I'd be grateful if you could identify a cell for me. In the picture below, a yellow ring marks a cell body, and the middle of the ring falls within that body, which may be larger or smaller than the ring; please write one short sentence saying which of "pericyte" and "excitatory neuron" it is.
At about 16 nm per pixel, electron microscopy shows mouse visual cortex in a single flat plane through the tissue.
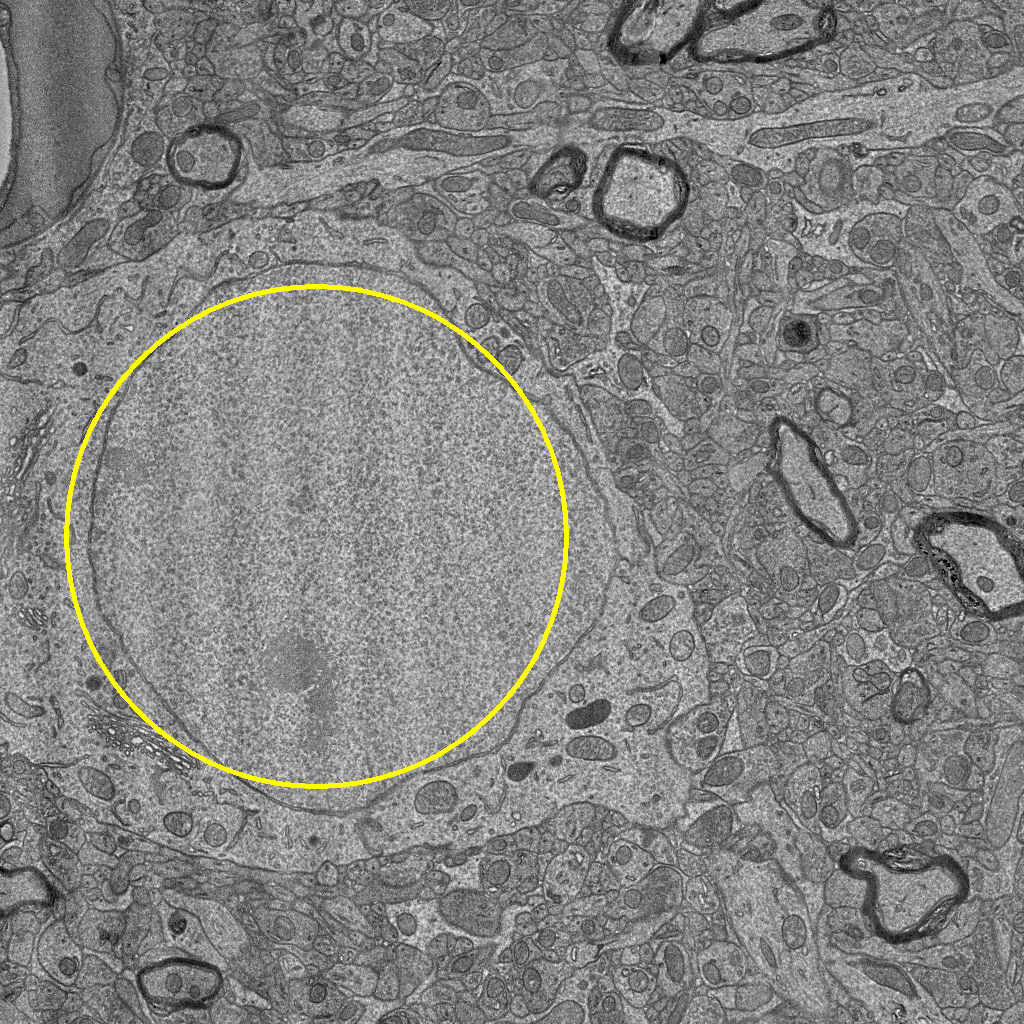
The cell under the ring's centre is an excitatory neuron.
